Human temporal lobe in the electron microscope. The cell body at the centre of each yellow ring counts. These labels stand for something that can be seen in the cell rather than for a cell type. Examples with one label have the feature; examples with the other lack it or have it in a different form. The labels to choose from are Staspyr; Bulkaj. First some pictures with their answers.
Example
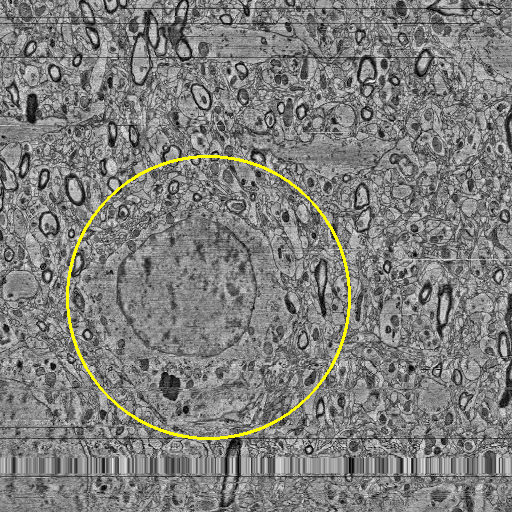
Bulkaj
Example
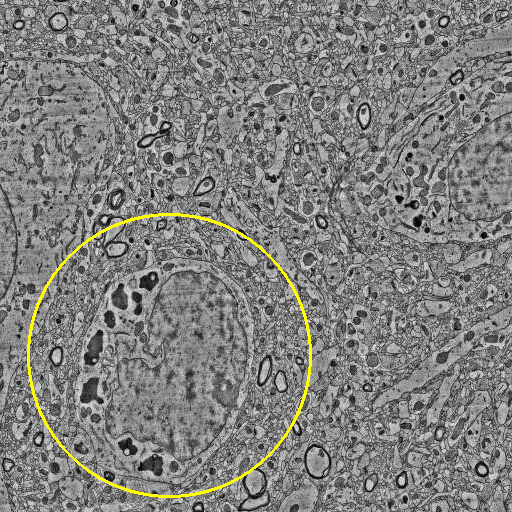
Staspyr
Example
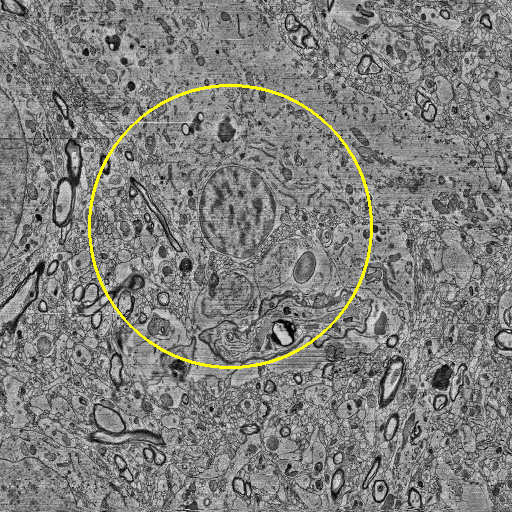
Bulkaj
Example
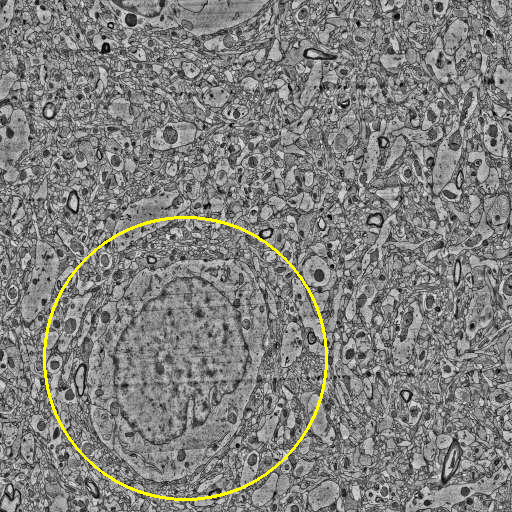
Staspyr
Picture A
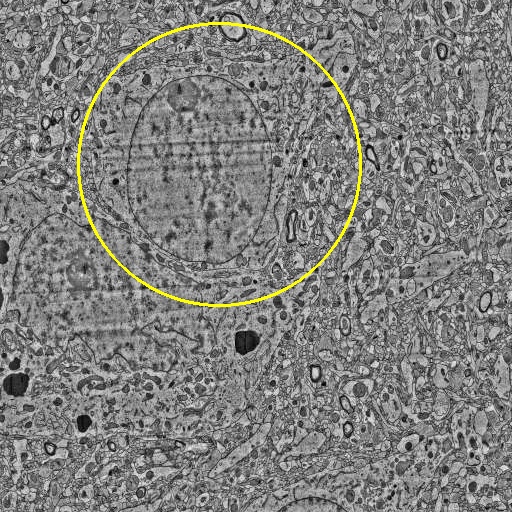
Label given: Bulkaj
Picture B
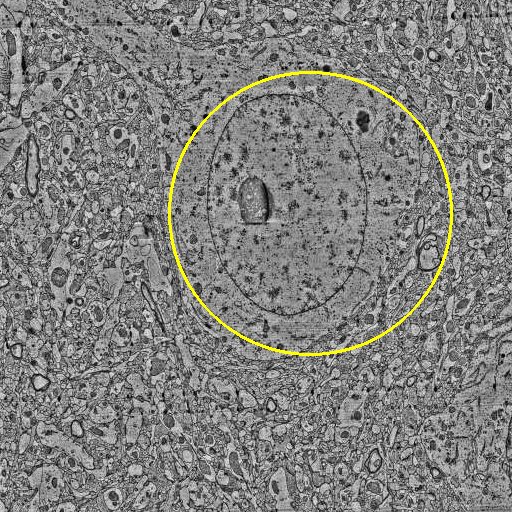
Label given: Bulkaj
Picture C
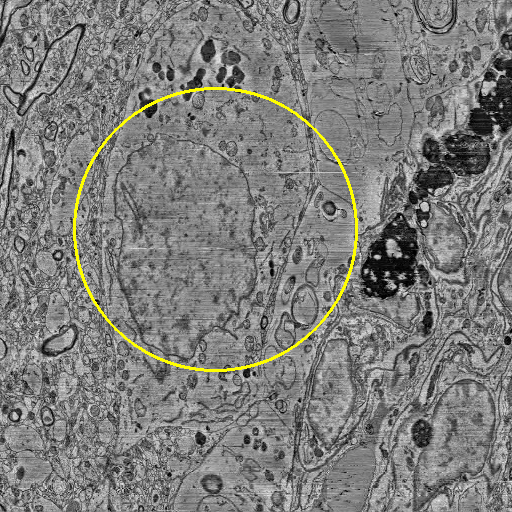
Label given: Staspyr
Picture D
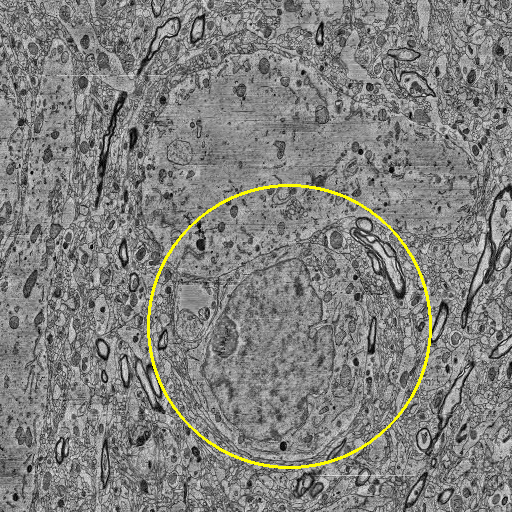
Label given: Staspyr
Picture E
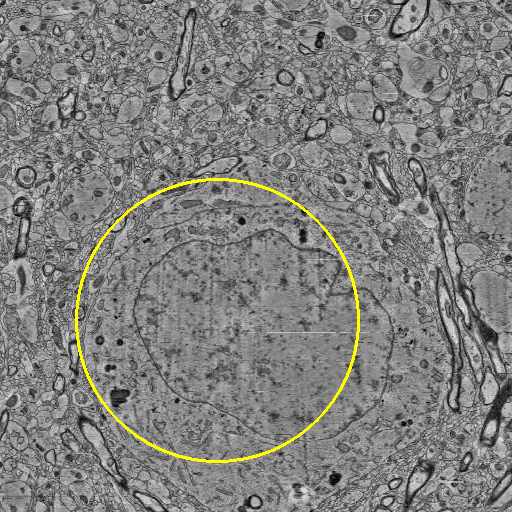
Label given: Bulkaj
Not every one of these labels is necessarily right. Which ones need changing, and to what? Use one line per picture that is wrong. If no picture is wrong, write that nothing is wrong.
None of the labels needs changing.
